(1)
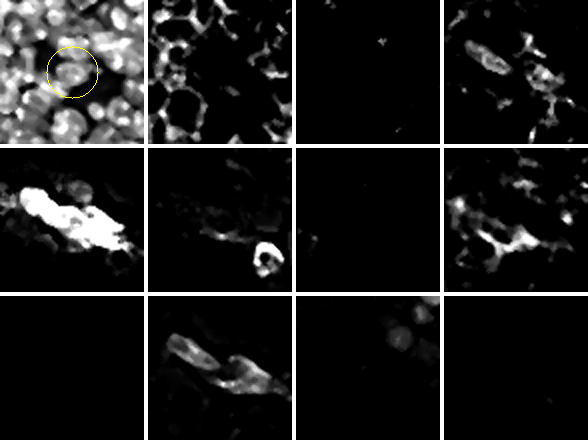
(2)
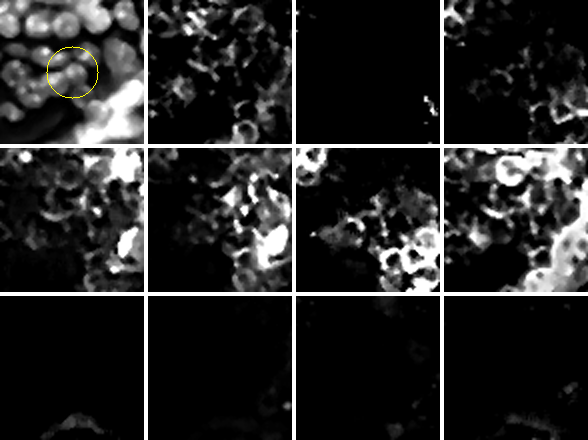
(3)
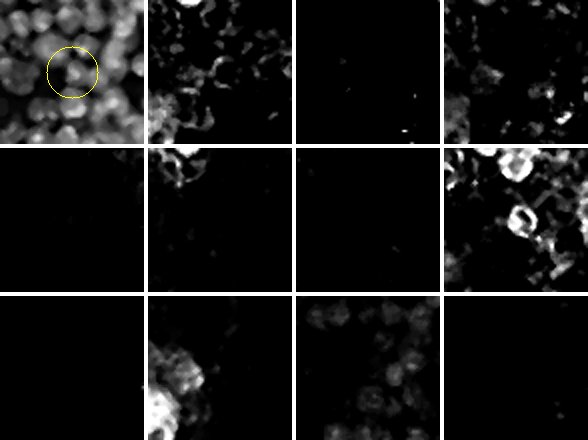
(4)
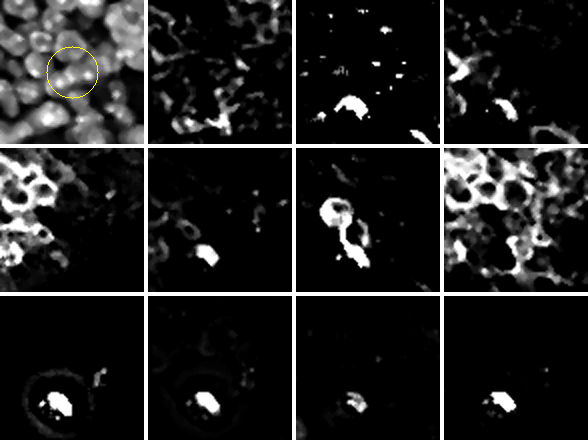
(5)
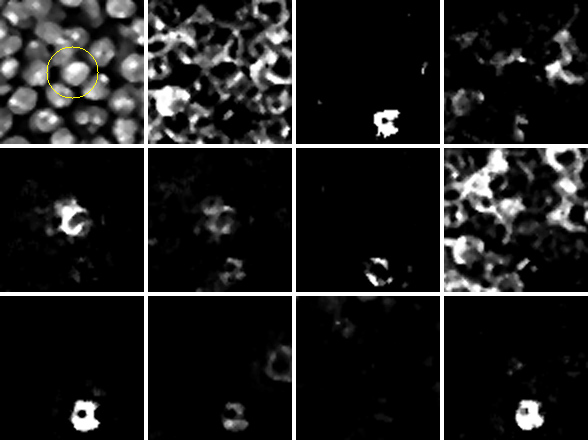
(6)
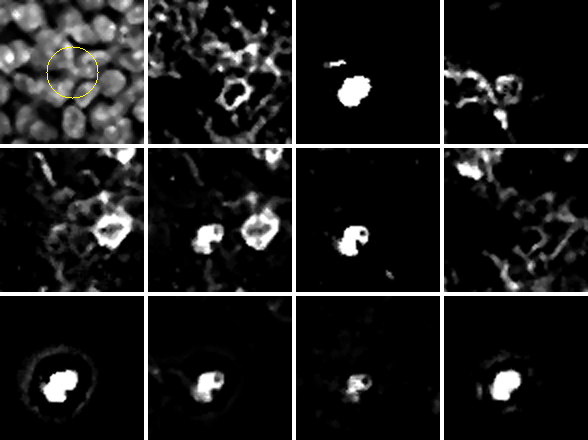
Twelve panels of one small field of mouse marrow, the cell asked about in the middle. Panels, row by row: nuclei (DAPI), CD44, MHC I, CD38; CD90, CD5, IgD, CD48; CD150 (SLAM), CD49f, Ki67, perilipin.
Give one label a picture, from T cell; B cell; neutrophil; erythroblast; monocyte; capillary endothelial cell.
1: capillary endothelial cell
2: B cell
3: monocyte
4: neutrophil
5: T cell
6: neutrophil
